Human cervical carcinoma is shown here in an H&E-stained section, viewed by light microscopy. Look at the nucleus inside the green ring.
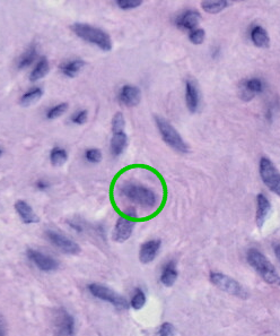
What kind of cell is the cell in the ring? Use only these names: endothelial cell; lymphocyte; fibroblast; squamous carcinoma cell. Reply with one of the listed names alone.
fibroblast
